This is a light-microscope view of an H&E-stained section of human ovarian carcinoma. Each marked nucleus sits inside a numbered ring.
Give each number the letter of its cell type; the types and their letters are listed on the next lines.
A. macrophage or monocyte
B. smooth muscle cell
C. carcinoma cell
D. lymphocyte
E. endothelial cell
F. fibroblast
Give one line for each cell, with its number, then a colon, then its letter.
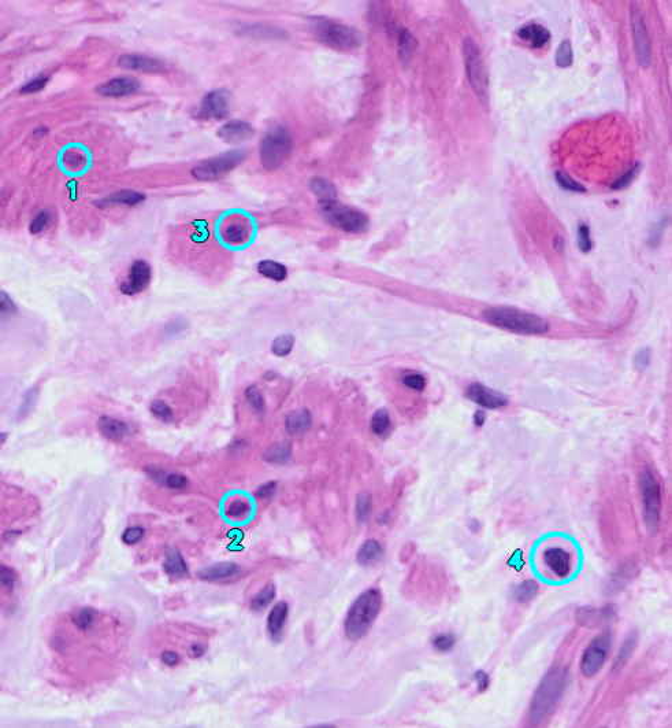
1: B
2: B
3: B
4: D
